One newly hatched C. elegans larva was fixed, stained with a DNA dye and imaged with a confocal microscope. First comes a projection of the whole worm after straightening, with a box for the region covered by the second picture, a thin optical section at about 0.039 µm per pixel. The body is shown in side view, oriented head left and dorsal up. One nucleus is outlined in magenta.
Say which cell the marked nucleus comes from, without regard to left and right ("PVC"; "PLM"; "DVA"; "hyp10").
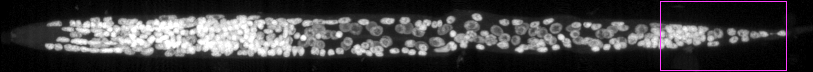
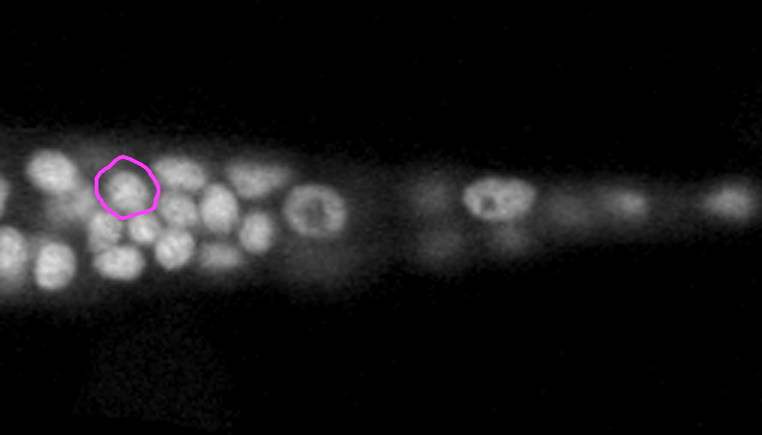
DVA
